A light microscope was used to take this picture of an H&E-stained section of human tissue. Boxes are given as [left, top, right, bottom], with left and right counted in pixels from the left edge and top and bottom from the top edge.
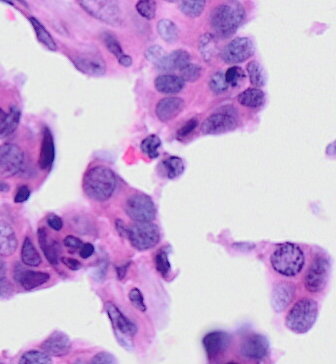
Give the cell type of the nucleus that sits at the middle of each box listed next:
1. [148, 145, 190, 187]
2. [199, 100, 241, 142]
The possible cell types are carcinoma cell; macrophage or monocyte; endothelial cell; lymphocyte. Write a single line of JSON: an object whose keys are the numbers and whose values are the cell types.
{"1": "macrophage or monocyte", "2": "carcinoma cell"}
